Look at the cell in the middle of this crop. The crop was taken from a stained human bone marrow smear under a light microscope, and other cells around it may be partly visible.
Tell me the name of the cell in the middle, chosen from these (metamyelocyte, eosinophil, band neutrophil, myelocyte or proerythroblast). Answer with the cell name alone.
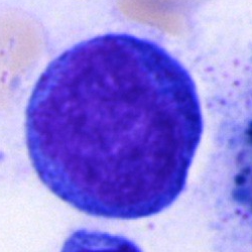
proerythroblast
